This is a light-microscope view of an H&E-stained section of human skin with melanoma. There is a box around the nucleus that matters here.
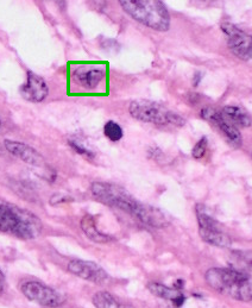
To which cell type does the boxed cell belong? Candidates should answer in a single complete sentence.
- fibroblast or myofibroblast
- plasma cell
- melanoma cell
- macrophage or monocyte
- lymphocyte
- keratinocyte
So far as cell type goes, the boxed cell is a macrophage or monocyte.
